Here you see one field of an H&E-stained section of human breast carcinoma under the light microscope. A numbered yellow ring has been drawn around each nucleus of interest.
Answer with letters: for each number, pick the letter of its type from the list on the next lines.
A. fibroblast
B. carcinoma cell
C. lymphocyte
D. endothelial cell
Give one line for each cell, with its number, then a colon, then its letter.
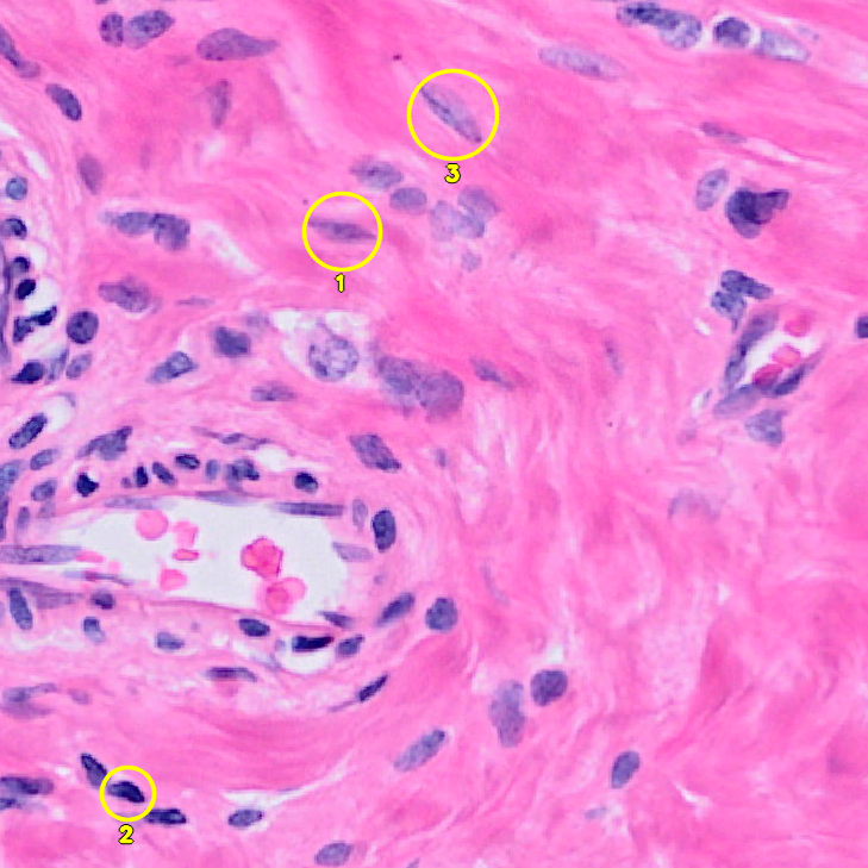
1: A
2: C
3: A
